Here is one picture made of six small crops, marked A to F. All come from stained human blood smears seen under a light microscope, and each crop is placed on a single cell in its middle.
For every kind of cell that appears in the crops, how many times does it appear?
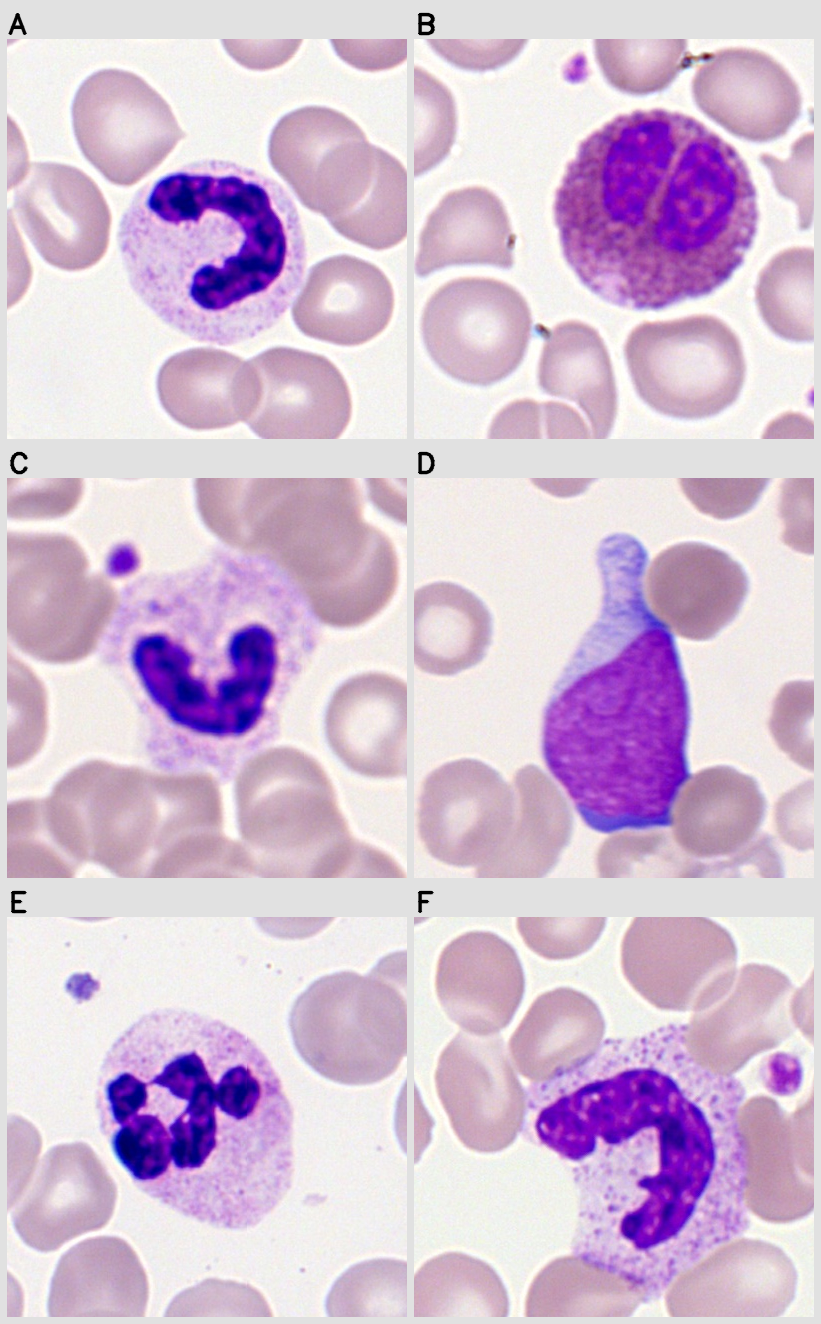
band neutrophil: 3
eosinophil: 1
myeloblast: 1
segmented neutrophil: 1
